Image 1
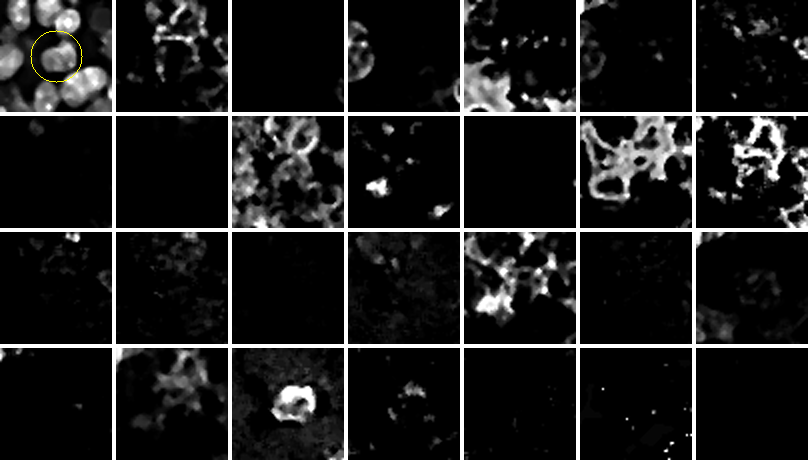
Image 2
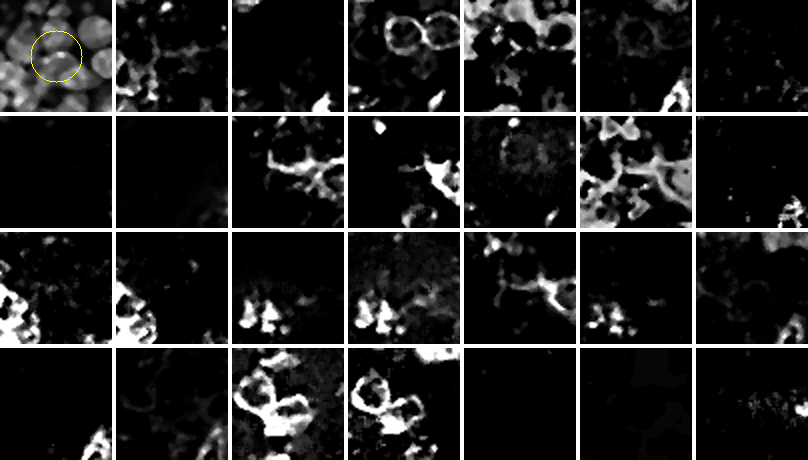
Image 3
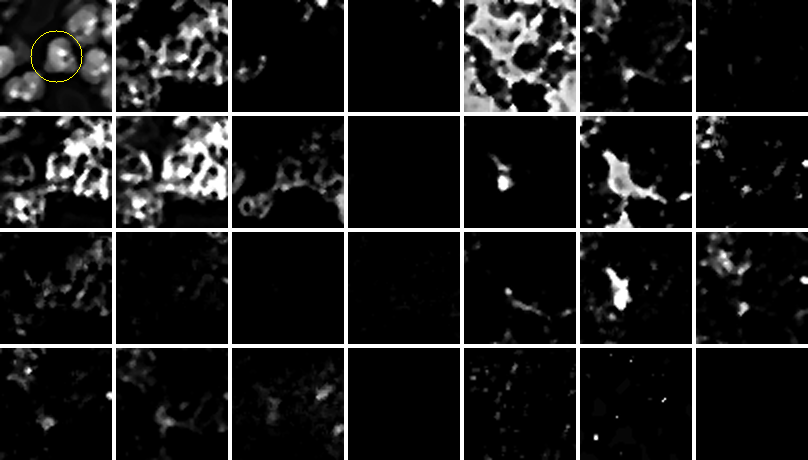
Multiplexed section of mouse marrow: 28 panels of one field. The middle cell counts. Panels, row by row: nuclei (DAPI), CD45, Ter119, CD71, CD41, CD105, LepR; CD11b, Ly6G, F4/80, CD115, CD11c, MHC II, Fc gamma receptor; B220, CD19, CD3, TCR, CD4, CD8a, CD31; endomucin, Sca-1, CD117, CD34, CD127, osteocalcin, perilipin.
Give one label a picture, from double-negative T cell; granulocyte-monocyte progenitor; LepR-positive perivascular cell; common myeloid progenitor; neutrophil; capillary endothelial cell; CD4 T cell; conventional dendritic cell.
1: granulocyte-monocyte progenitor
2: common myeloid progenitor
3: neutrophil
